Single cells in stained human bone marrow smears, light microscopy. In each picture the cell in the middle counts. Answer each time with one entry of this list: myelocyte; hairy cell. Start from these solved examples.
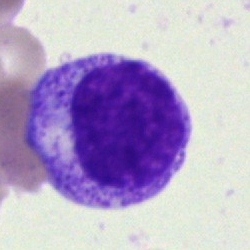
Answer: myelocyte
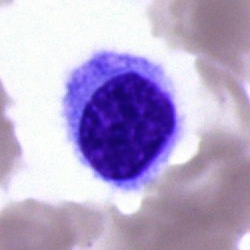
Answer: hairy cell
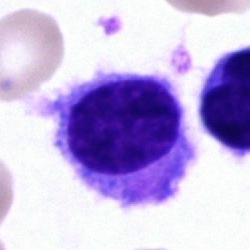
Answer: hairy cell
